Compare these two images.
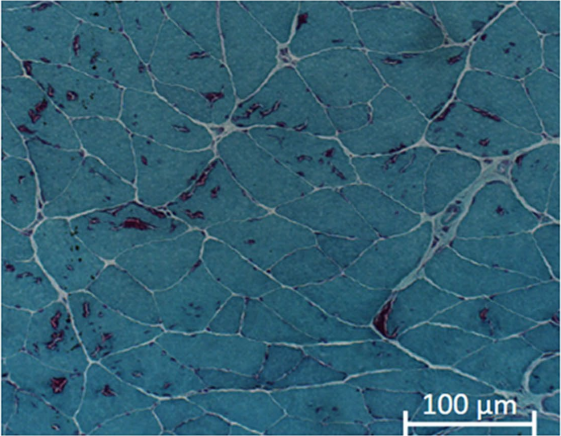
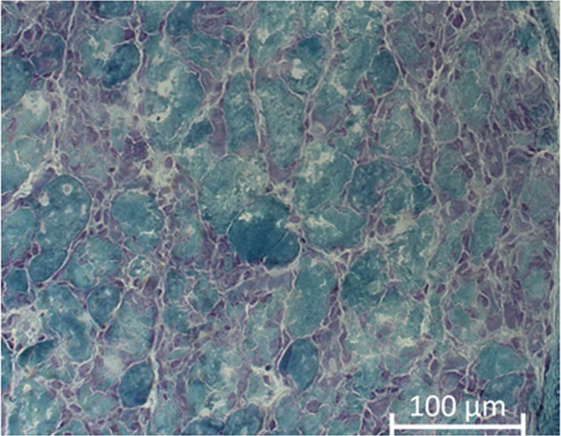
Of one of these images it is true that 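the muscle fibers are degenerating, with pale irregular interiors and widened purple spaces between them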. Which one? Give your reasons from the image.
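First image: closely packed polygonal fibers stain evenly blue-green with thin pale borders between them. Second image: rounded fibers with patchy pale interiors lie in widened purple-stained spaces. So: the second image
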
